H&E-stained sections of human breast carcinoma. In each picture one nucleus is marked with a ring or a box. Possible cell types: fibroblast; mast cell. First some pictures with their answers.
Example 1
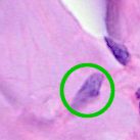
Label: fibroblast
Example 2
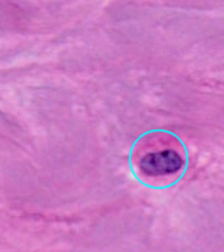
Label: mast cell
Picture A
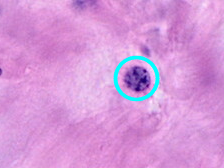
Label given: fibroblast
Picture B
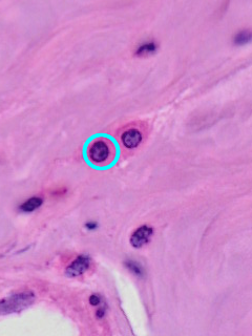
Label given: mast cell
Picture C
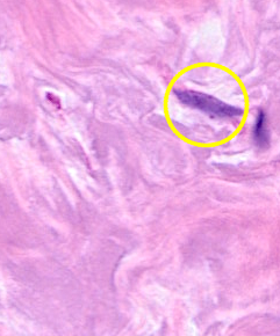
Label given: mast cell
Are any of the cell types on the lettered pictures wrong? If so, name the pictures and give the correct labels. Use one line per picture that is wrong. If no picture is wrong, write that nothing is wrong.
A is labelled fibroblast; correct label: mast cell
C is labelled mast cell; correct label: fibroblast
